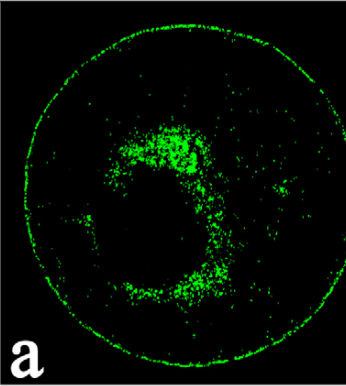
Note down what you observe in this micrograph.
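Most granules are packed into a dense crescent that wraps around a dark, round, granule-free region near the middle of the cell. Only scattered granules lie elsewhere in the inner cytoplasm. A thin, faint green line traces the outer edge of the cell.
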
